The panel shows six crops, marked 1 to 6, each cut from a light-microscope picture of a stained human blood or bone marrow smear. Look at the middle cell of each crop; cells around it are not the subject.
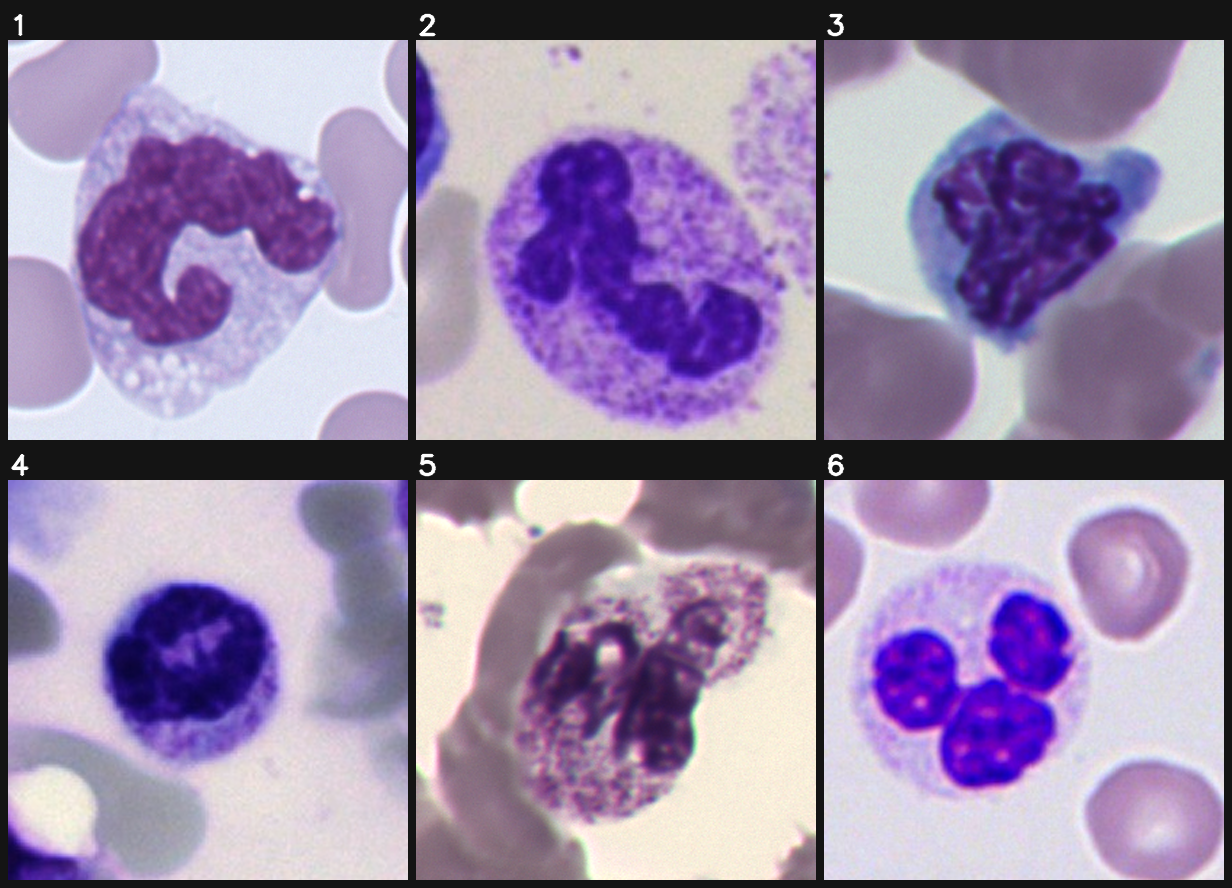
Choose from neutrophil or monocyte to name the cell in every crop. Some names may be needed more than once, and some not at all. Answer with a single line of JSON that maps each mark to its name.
{"1": "monocyte", "2": "neutrophil", "3": "monocyte", "4": "neutrophil", "5": "neutrophil", "6": "neutrophil"}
